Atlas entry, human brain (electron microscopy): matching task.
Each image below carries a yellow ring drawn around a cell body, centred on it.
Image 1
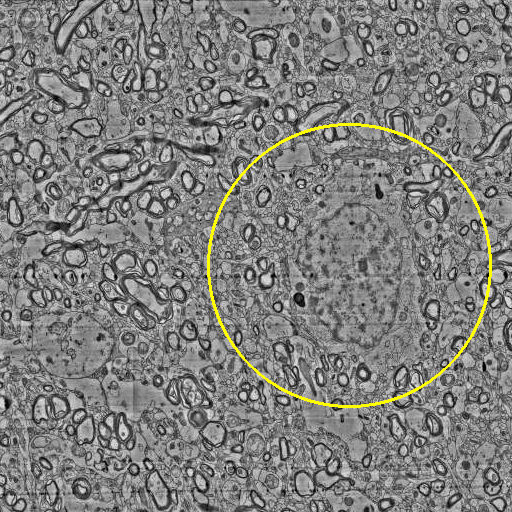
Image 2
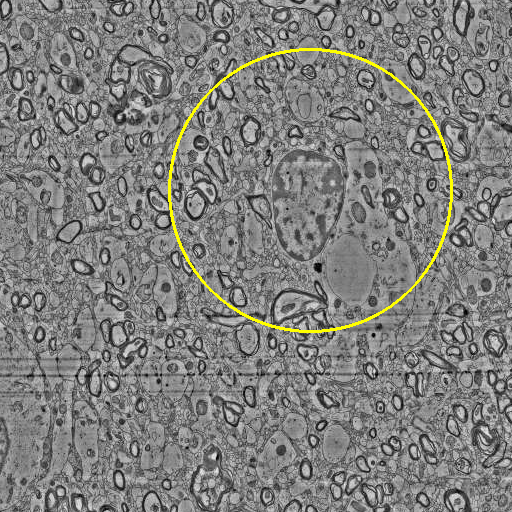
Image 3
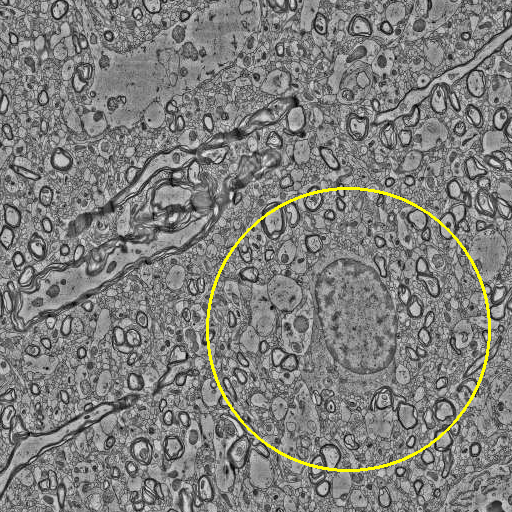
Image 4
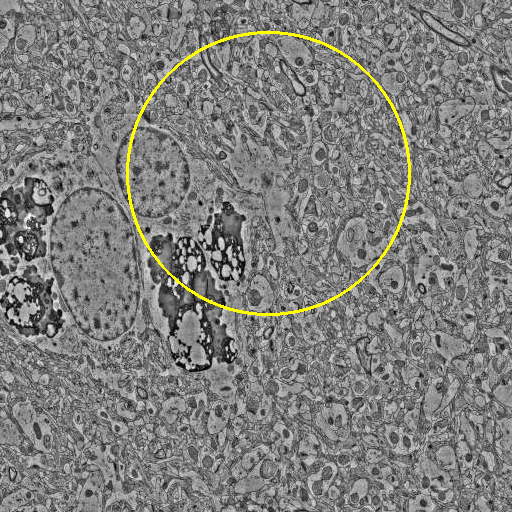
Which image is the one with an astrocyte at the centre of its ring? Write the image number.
4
